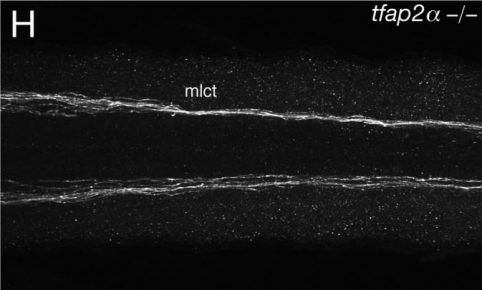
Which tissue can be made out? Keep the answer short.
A: Spinal cord.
